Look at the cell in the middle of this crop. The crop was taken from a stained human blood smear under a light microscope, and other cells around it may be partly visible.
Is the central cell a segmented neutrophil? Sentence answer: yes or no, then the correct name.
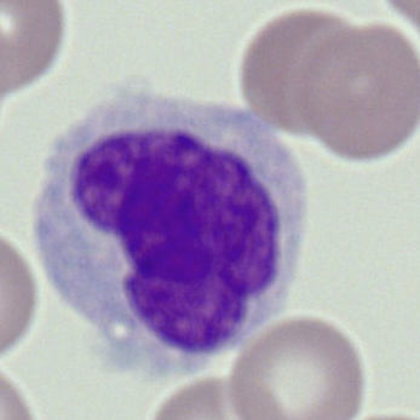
No, the cell occupying the centre is a monocyte, not a segmented neutrophil.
